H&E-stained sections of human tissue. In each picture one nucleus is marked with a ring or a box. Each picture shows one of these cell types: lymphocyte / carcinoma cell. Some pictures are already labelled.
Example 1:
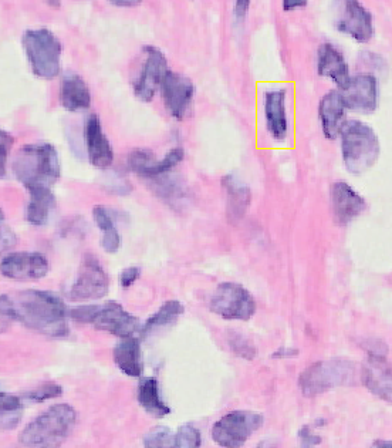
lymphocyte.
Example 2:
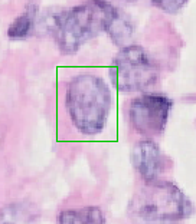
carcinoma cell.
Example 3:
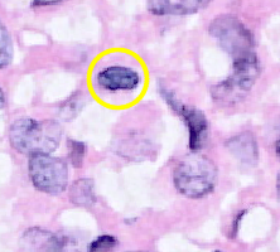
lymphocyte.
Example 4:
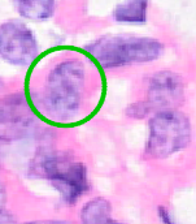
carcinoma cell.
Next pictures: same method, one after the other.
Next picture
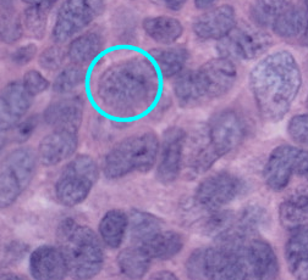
carcinoma cell.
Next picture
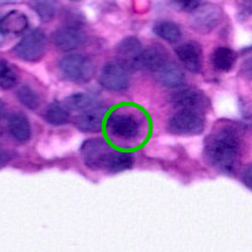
carcinoma cell.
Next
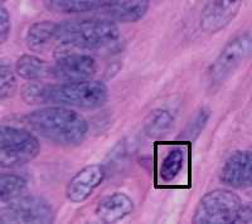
lymphocyte.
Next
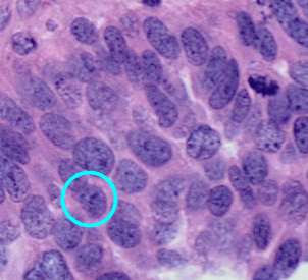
carcinoma cell.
